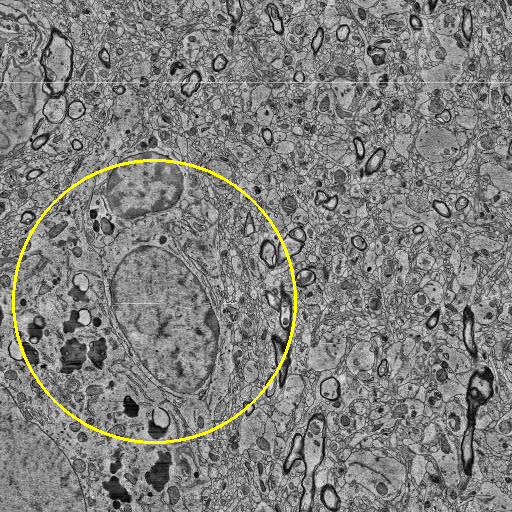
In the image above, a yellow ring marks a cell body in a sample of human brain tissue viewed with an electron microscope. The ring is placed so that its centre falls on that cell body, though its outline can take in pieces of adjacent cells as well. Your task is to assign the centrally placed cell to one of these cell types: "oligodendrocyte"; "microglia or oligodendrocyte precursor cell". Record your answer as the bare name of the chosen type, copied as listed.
microglia or oligodendrocyte precursor cell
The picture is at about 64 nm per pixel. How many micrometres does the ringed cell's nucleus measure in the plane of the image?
About 10 by 6 micrometres in this plane; clearly longer than it is wide.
